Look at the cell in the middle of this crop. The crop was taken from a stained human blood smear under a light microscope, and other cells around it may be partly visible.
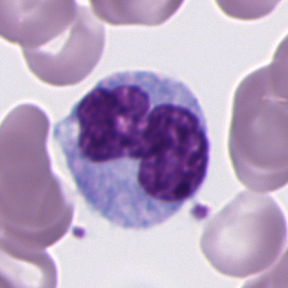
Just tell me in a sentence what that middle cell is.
The cell marked by its central position in the crop is a monocyte.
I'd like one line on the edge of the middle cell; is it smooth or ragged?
Its periphery is smooth, and no projections arise from it.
